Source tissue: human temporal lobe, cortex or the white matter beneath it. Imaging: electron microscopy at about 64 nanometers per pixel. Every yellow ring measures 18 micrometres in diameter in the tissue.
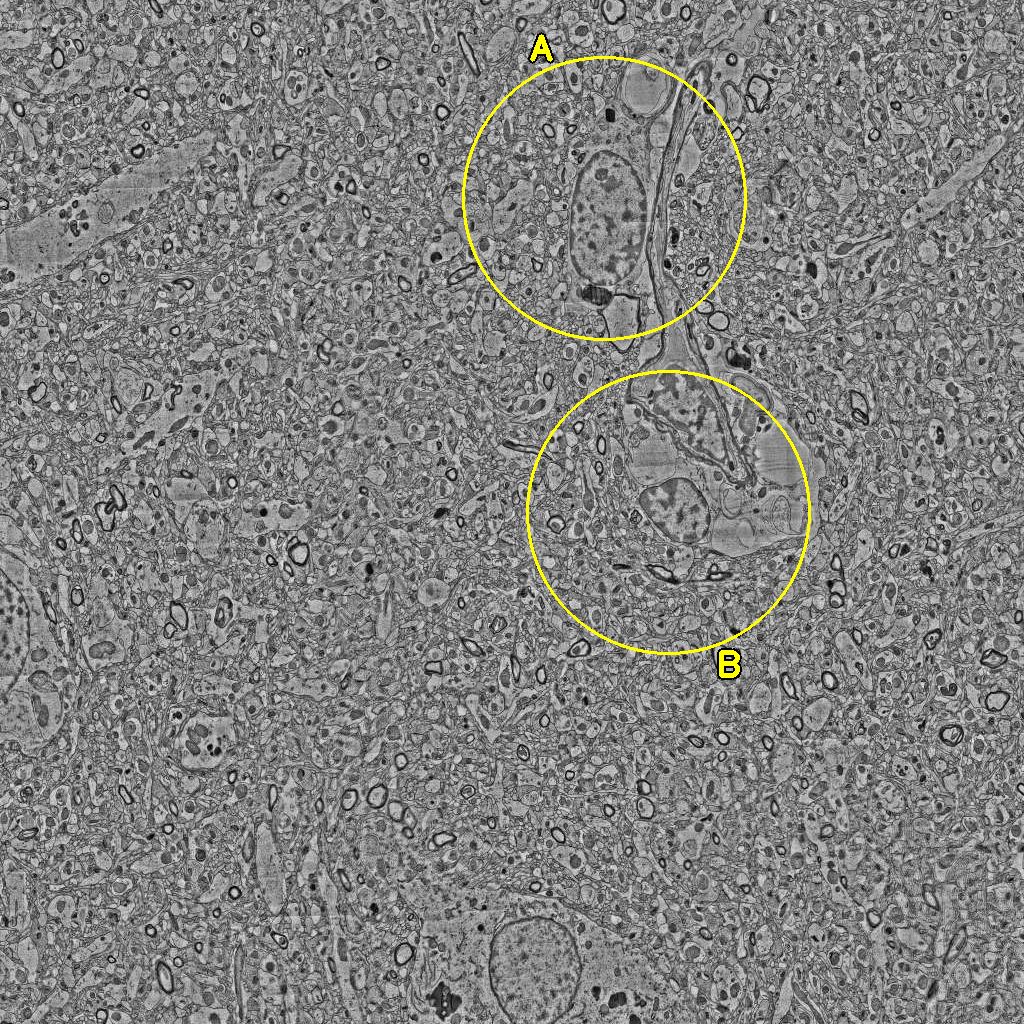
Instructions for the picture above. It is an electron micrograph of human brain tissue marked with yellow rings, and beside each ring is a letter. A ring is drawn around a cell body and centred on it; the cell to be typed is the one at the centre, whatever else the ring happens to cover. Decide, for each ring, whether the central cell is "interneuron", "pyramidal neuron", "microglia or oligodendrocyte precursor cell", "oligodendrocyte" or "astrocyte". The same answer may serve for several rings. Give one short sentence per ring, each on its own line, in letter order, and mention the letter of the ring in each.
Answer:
Ring A is drawn around an oligodendrocyte.
Ring B is drawn around a microglial cell or oligodendrocyte precursor cell.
